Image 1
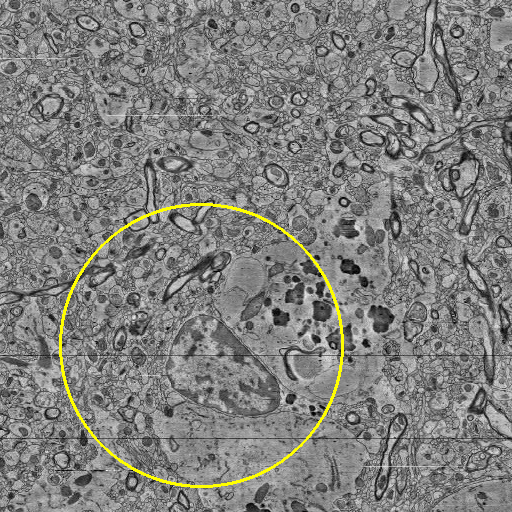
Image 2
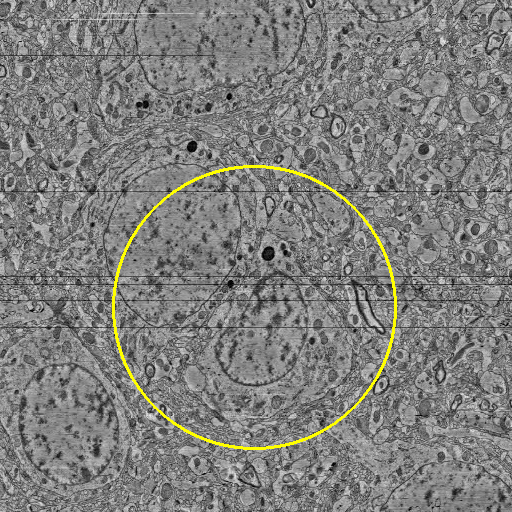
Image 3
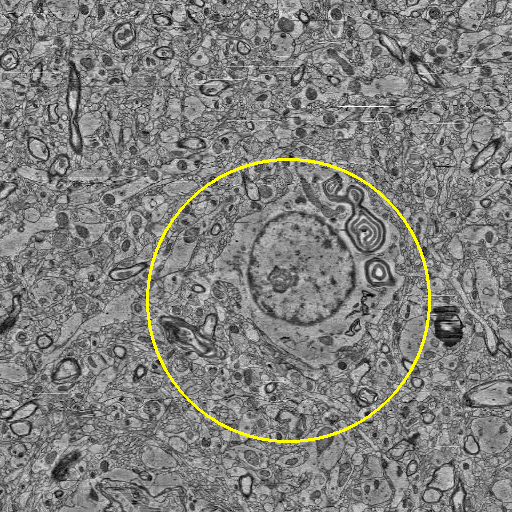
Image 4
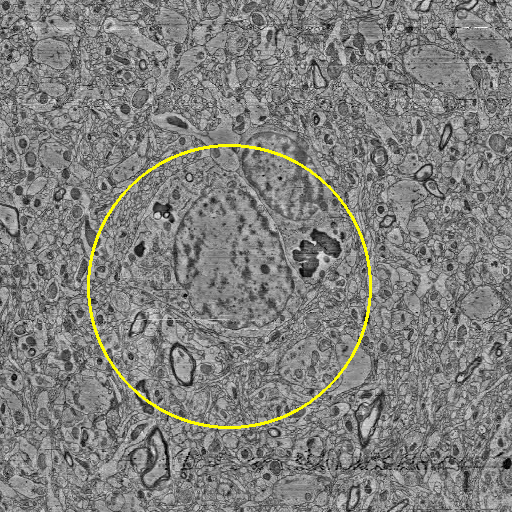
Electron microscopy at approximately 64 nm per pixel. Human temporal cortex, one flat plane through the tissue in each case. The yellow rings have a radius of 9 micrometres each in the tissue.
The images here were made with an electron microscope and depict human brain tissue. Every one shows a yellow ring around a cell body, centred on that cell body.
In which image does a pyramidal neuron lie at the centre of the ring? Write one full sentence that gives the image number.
My answer is image 2, where the asked-for cell sits at the centre of the ring.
